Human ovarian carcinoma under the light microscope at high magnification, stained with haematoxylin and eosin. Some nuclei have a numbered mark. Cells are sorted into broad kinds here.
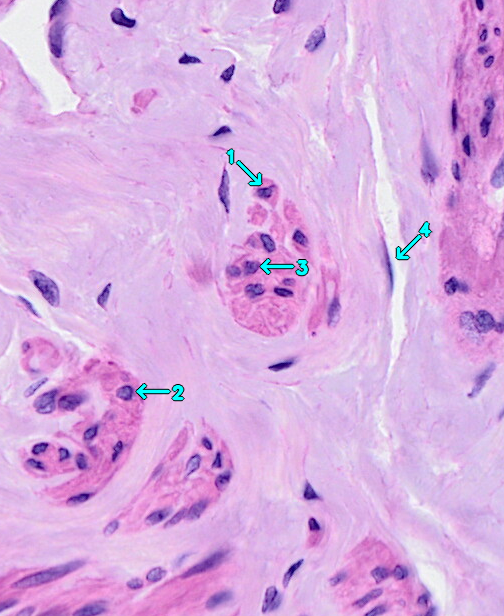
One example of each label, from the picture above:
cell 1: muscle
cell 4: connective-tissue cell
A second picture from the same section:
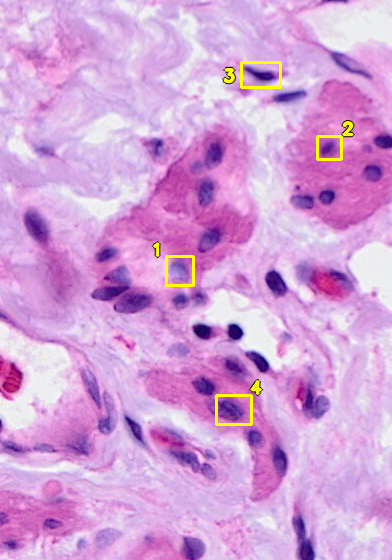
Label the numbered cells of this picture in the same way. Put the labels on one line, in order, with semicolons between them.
muscle; muscle; connective-tissue cell; muscle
